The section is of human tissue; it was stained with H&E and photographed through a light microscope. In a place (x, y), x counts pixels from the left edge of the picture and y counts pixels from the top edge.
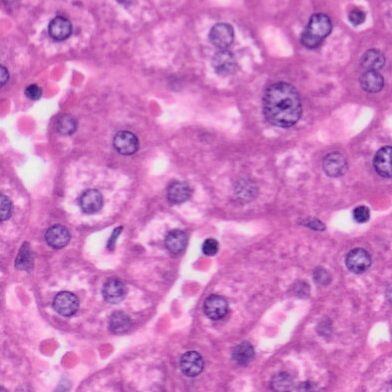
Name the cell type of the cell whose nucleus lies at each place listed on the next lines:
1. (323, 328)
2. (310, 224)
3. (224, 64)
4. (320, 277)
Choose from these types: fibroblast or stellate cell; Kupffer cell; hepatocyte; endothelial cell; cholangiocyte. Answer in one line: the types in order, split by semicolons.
hepatocyte; fibroblast or stellate cell; hepatocyte; hepatocyte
